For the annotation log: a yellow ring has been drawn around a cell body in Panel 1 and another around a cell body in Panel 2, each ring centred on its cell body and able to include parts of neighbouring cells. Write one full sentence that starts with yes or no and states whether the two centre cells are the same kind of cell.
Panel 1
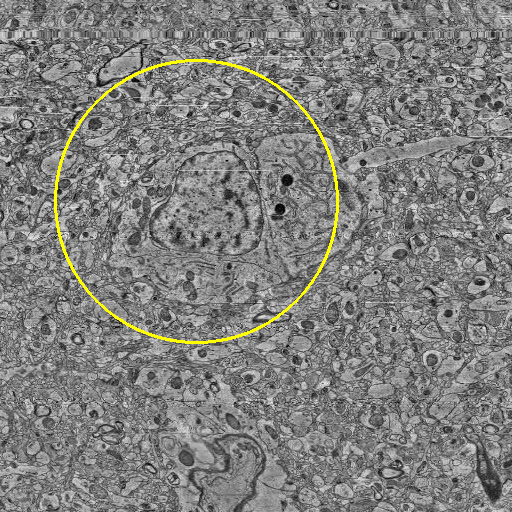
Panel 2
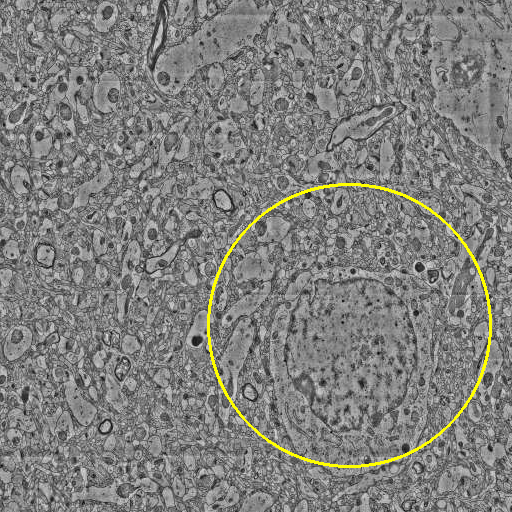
No, the two centre cells are two kinds of cell.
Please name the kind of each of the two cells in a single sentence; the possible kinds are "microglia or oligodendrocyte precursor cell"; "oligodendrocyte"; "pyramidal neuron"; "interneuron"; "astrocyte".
In the first picture the ring is centred on a microglial cell or oligodendrocyte precursor cell, and in the second on an interneuron.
